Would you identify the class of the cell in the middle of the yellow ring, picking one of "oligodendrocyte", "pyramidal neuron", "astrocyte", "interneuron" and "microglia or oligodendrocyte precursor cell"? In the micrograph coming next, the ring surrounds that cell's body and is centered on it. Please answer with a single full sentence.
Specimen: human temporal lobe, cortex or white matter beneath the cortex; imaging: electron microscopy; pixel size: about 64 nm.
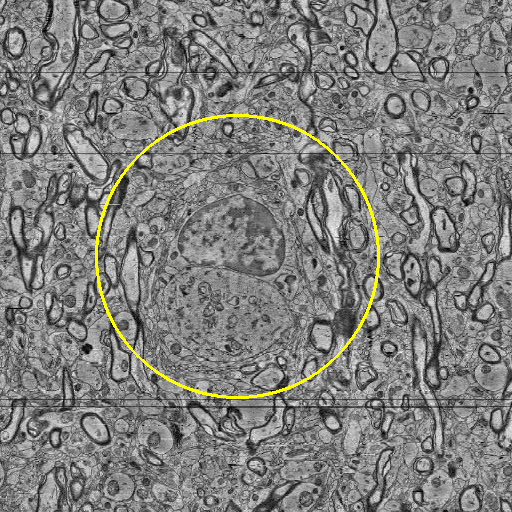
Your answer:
In the micrograph, it is a microglial cell or oligodendrocyte precursor cell whose body lies at the ring's center.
